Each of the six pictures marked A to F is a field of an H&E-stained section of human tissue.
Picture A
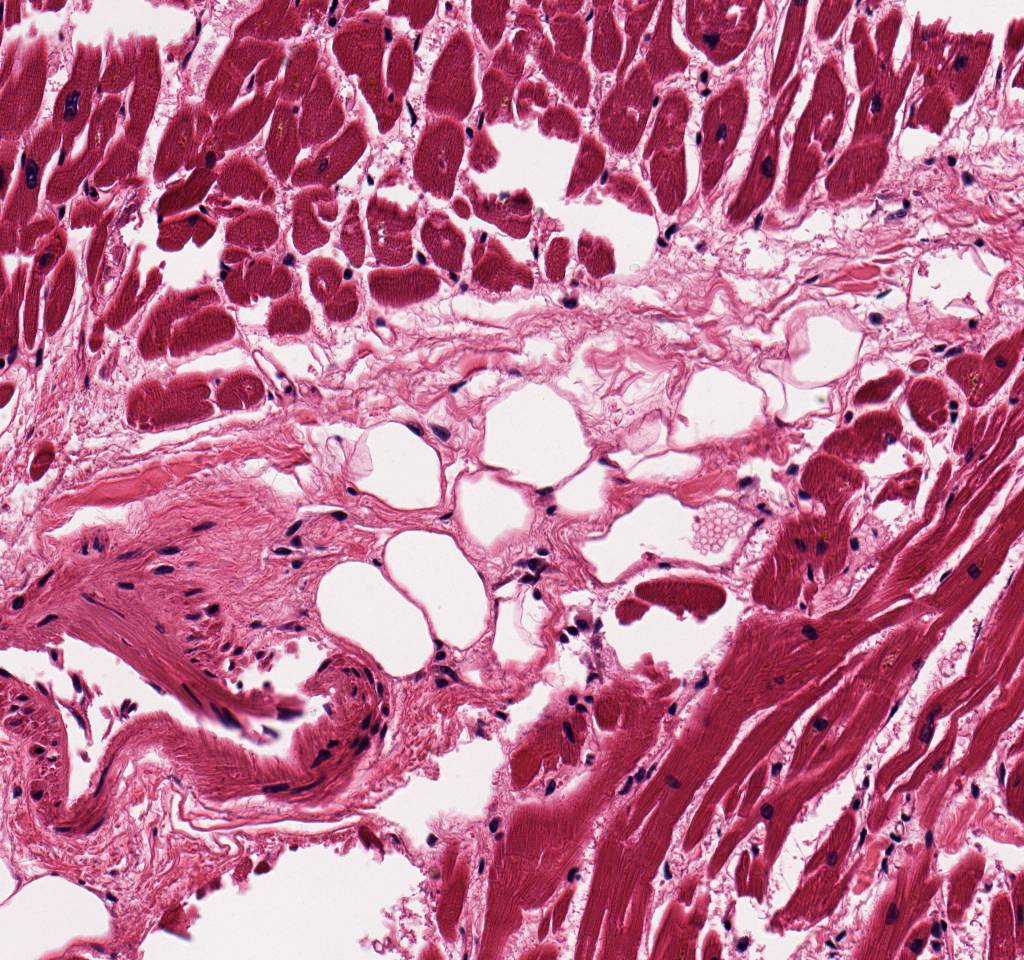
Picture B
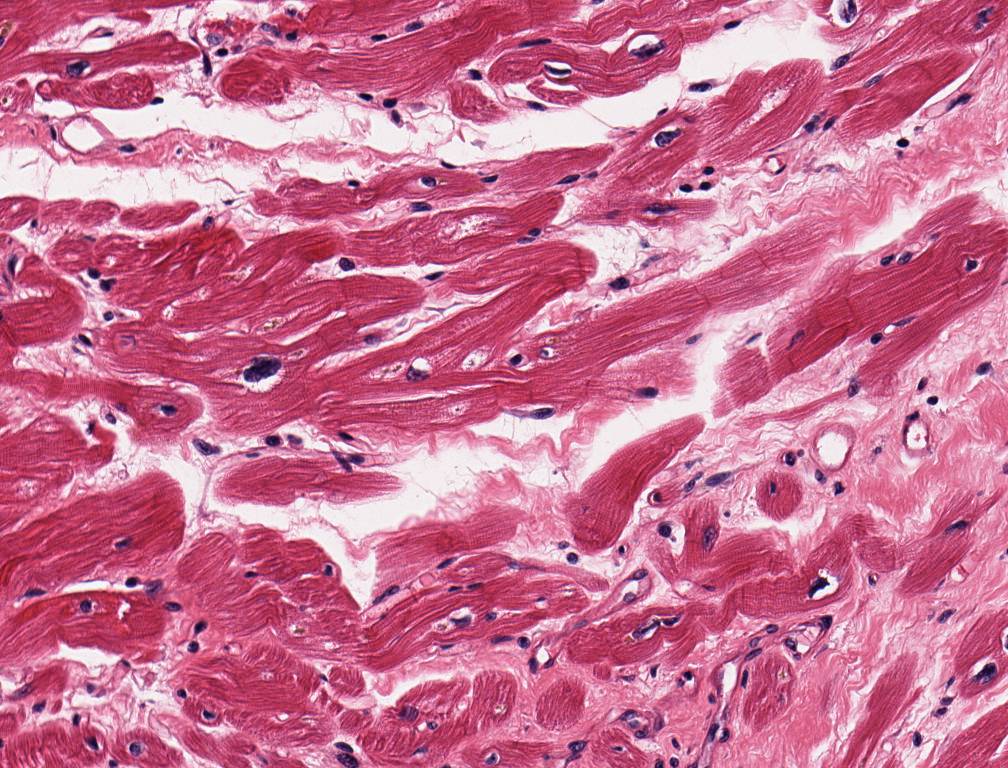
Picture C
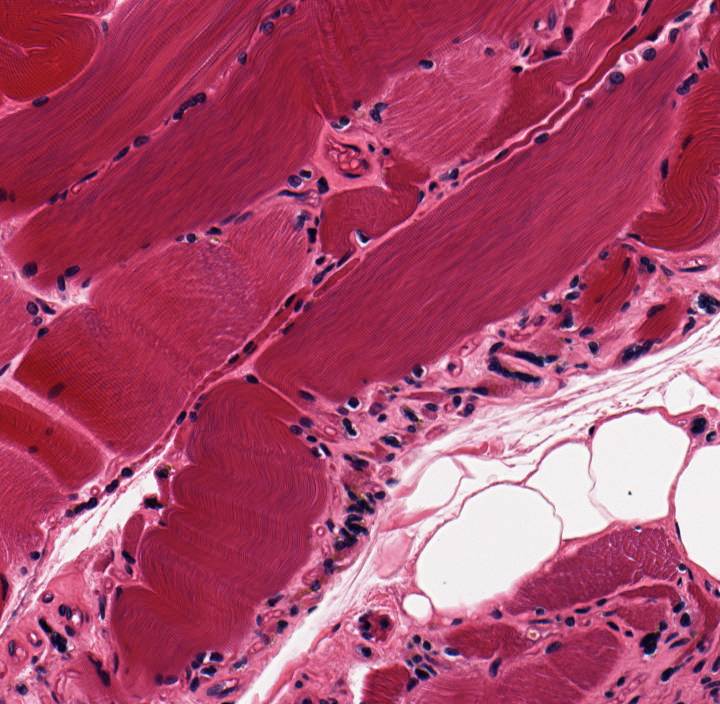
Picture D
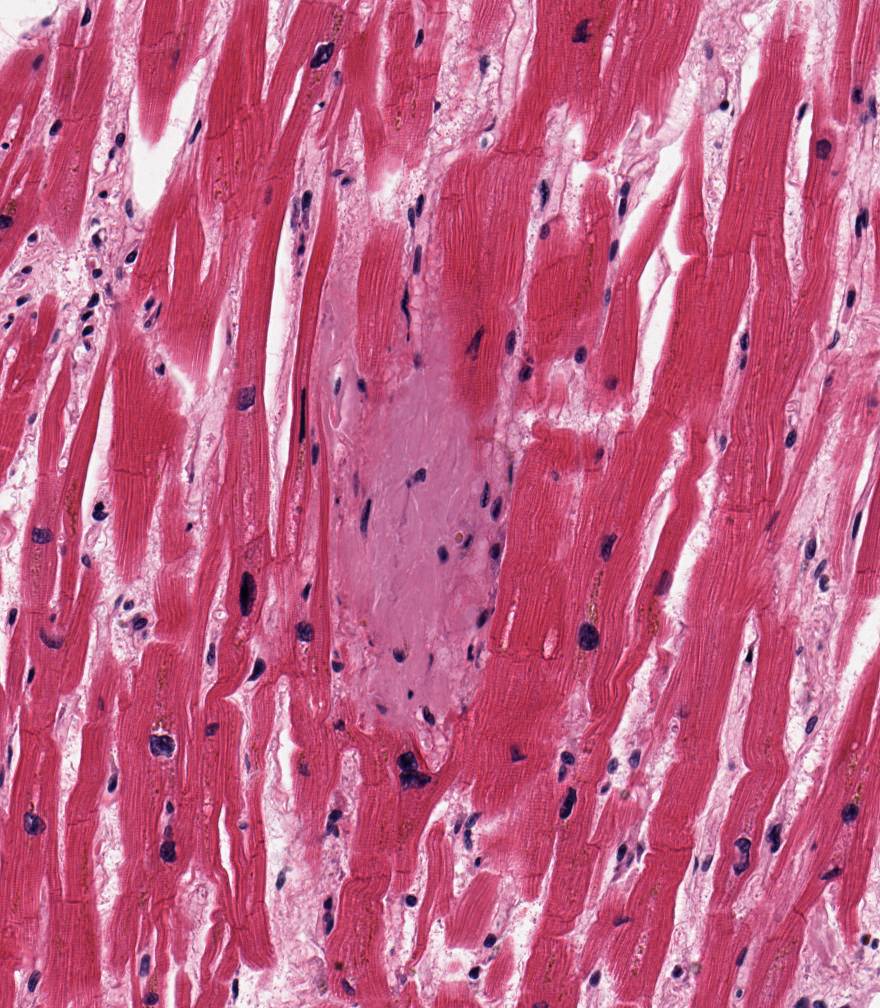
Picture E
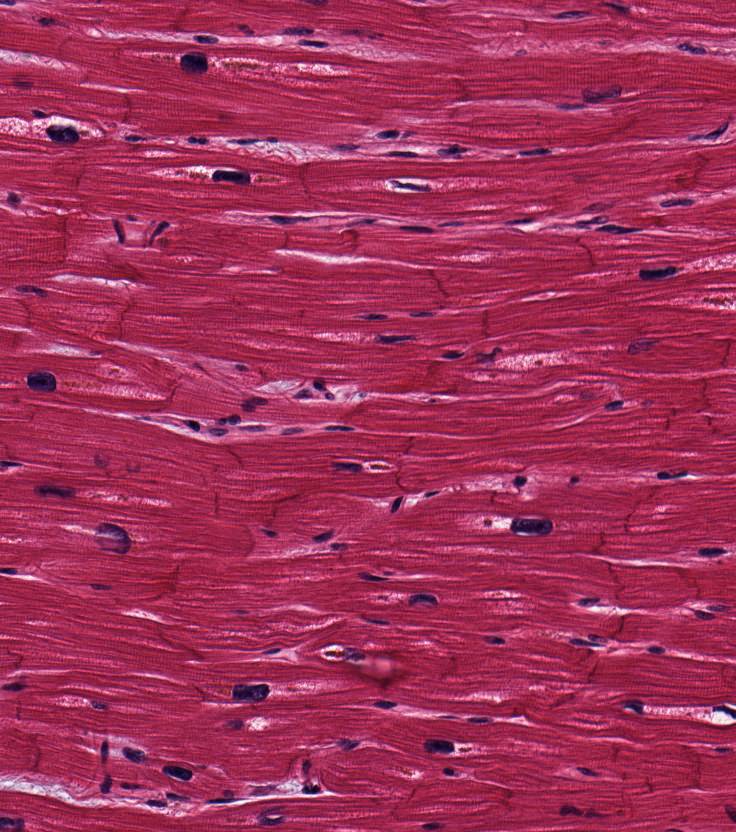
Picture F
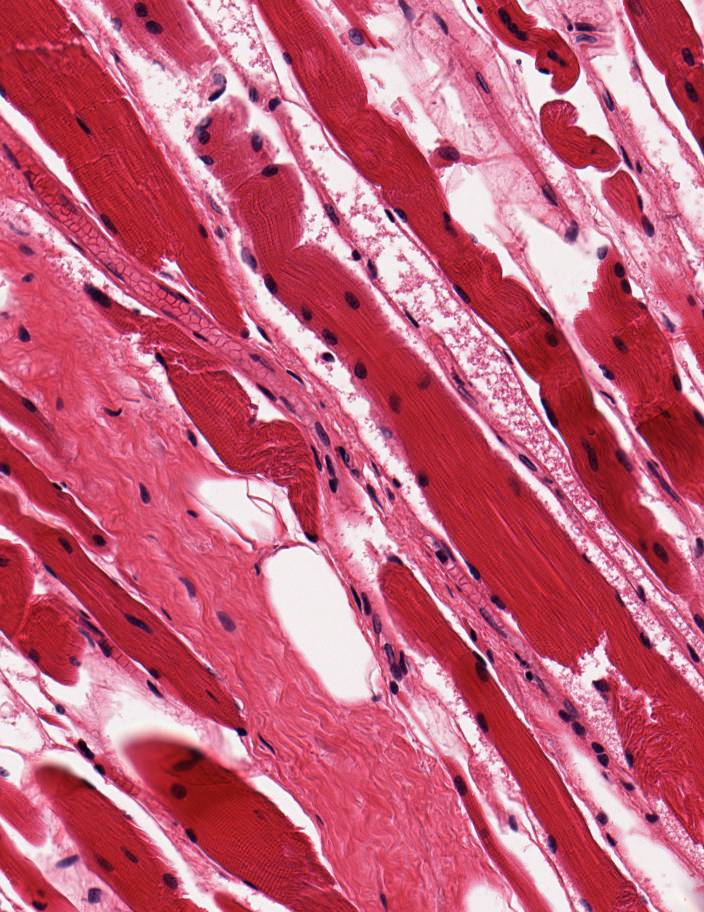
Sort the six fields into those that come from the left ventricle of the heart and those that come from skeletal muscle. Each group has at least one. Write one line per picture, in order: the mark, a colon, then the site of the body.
A: left ventricle of the heart
B: left ventricle of the heart
C: skeletal muscle
D: left ventricle of the heart
E: left ventricle of the heart
F: skeletal muscle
